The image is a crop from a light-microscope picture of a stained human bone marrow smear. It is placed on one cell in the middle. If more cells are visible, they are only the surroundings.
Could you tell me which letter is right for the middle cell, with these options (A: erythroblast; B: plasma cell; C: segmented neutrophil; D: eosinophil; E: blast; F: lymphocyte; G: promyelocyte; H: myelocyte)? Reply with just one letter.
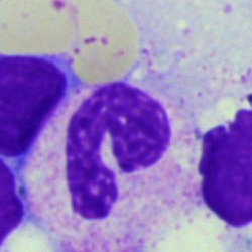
C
